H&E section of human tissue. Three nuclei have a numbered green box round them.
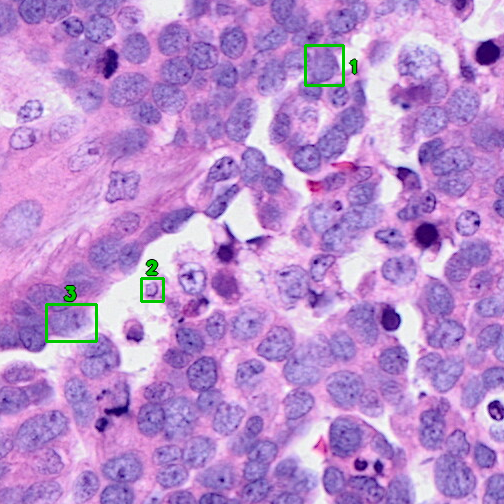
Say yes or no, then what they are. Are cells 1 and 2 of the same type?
No, whereas cell 2 is a macrophage or monocyte, cell 1 is a carcinoma cell.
